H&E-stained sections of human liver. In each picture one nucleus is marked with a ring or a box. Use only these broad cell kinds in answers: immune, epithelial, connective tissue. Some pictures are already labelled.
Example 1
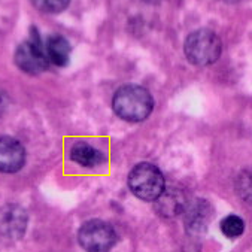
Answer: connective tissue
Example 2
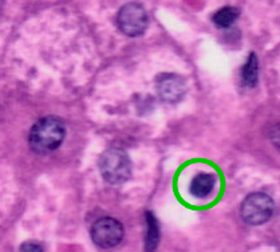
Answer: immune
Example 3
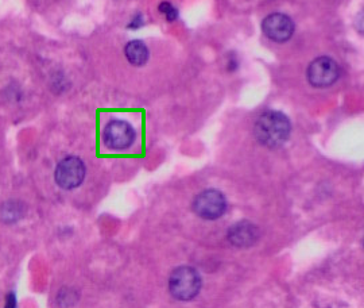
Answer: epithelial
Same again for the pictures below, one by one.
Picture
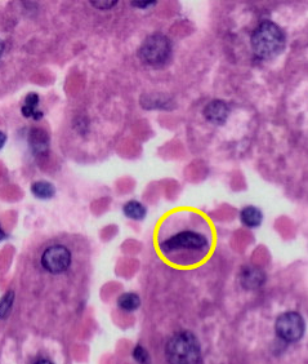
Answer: connective tissue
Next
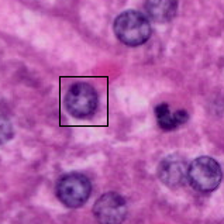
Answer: epithelial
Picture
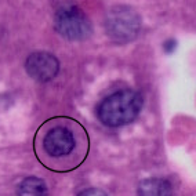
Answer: epithelial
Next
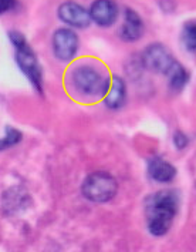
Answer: epithelial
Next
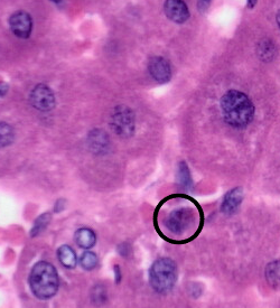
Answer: connective tissue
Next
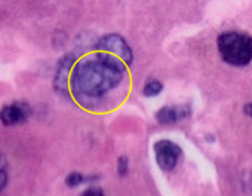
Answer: epithelial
